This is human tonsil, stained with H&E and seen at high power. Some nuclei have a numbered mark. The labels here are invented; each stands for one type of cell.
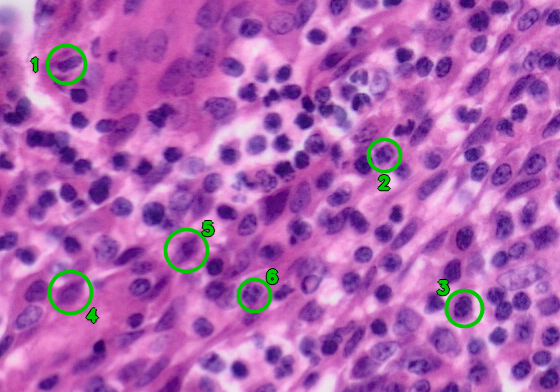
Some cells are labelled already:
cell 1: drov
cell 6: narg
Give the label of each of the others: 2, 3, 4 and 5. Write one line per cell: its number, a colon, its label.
2: narg
3: narg
4: drov
5: drov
